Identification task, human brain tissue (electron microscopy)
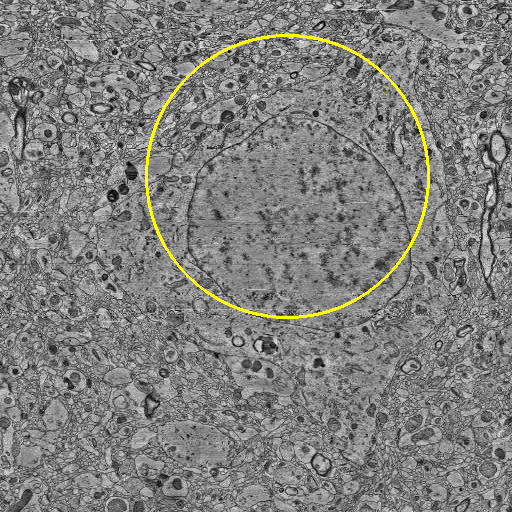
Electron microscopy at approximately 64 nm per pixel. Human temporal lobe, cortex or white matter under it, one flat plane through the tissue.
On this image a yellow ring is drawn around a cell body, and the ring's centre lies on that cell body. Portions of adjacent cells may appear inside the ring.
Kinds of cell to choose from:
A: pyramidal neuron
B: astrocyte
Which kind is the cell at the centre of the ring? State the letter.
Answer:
A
